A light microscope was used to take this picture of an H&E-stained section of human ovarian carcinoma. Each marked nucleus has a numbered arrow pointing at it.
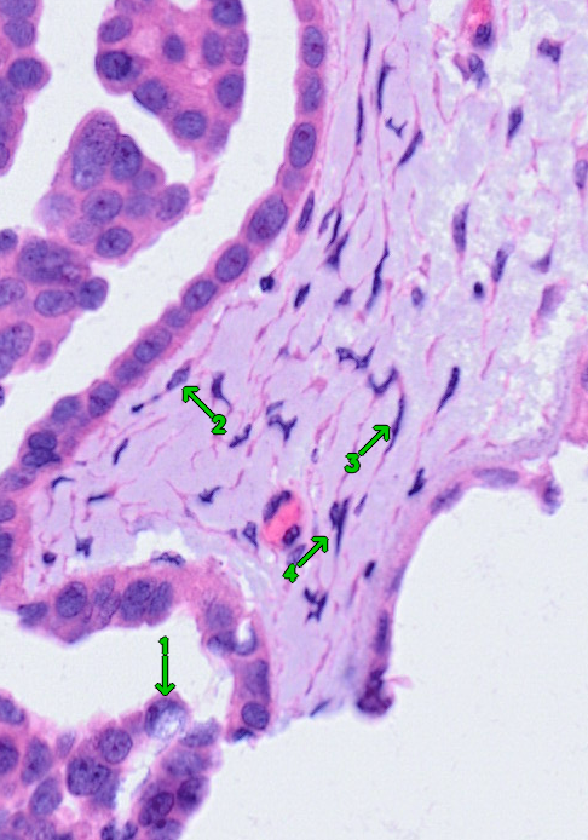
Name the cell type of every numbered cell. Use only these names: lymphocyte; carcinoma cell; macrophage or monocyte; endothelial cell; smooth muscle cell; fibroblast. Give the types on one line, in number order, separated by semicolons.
carcinoma cell; fibroblast; fibroblast; fibroblast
